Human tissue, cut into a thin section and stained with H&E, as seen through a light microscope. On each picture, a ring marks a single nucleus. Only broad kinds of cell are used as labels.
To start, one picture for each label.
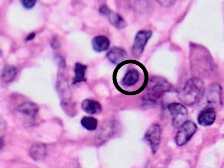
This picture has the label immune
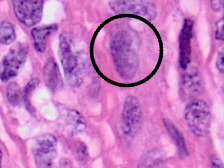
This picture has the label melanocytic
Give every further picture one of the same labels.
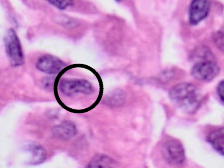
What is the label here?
melanocytic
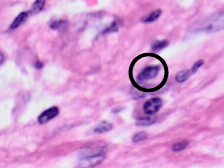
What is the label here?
immune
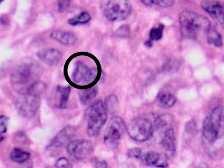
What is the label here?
melanocytic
